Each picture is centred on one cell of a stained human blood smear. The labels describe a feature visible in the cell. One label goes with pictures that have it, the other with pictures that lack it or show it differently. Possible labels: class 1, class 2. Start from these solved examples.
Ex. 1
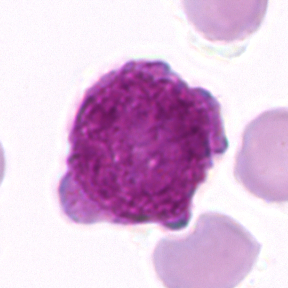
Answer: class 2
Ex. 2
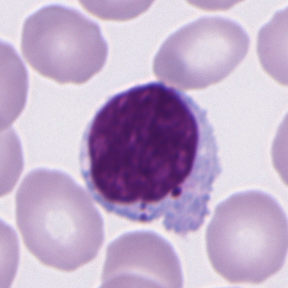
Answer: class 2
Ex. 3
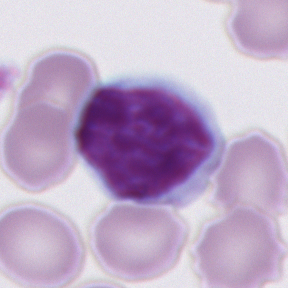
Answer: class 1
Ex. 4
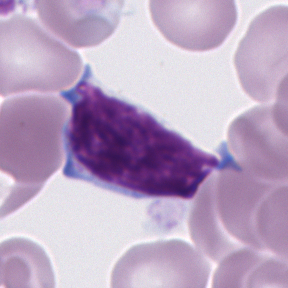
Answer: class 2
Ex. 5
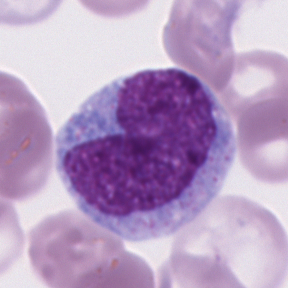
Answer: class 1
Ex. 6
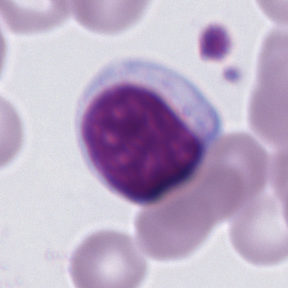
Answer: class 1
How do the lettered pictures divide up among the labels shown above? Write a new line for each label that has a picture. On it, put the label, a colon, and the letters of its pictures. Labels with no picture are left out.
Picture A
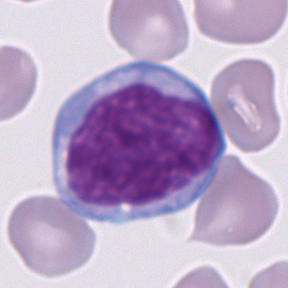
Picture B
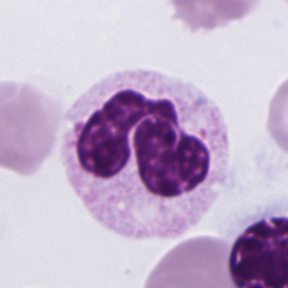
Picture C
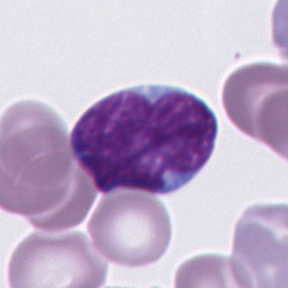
class 1: A, B, C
